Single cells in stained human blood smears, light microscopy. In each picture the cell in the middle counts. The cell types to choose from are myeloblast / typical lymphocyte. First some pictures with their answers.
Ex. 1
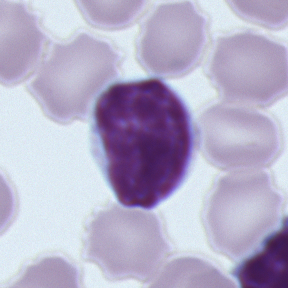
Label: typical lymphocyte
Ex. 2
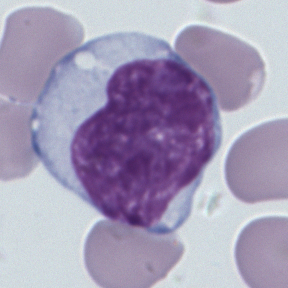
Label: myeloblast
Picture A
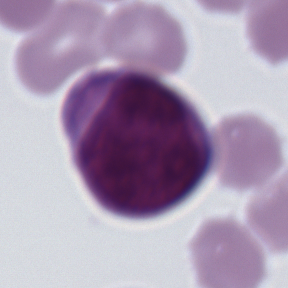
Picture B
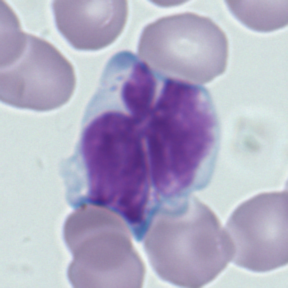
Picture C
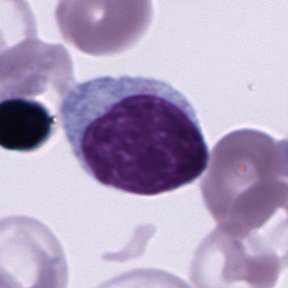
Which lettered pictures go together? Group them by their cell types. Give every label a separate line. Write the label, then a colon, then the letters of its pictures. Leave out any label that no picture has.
myeloblast: A, B
typical lymphocyte: C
